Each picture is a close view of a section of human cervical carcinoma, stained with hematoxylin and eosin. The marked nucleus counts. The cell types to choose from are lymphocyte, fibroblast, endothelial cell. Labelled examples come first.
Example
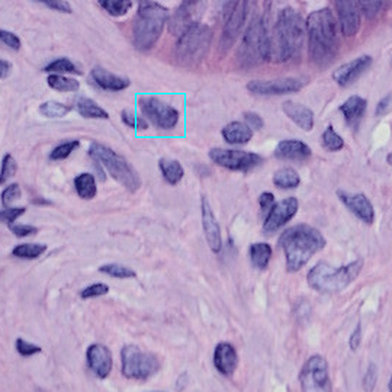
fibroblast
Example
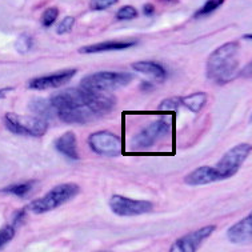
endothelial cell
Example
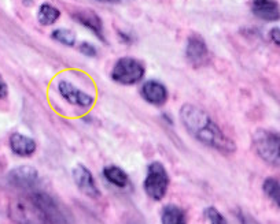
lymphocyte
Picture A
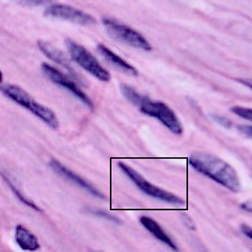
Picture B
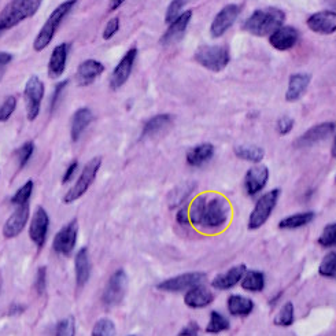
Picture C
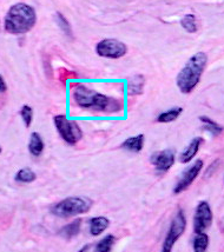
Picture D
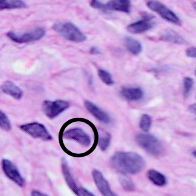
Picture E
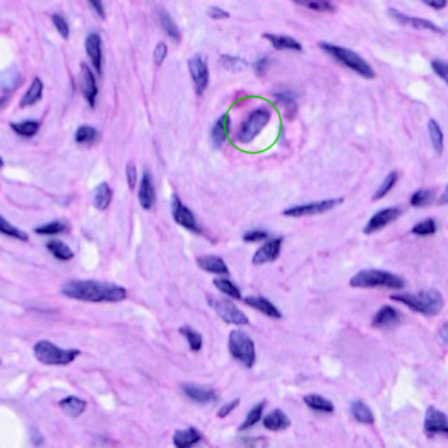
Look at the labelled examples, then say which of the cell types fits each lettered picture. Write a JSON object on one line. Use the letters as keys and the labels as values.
{"A": "fibroblast", "B": "endothelial cell", "C": "endothelial cell", "D": "fibroblast", "E": "endothelial cell"}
